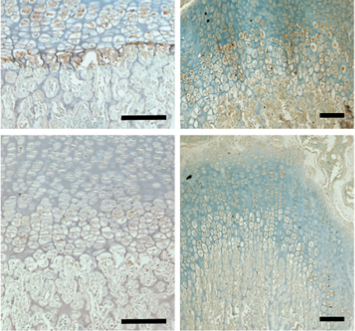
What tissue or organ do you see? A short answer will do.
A: Growth plates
